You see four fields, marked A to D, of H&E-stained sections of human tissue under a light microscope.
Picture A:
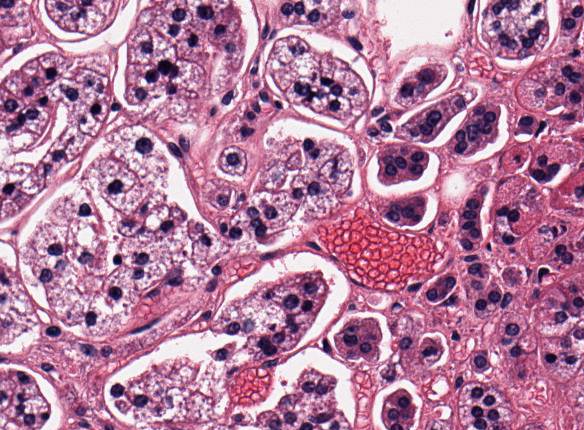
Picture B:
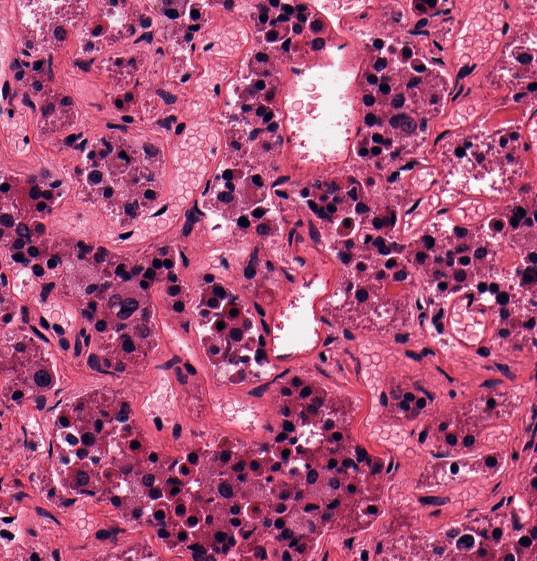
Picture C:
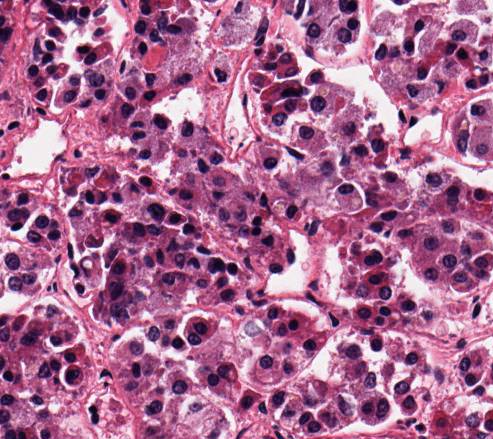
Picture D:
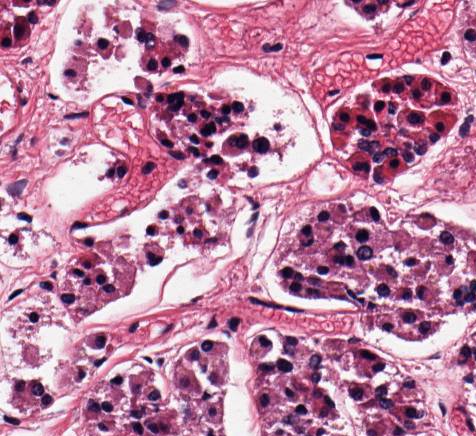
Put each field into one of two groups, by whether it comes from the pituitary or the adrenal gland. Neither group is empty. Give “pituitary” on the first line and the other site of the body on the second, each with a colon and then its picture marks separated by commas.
pituitary: B, C, D
adrenal gland: A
